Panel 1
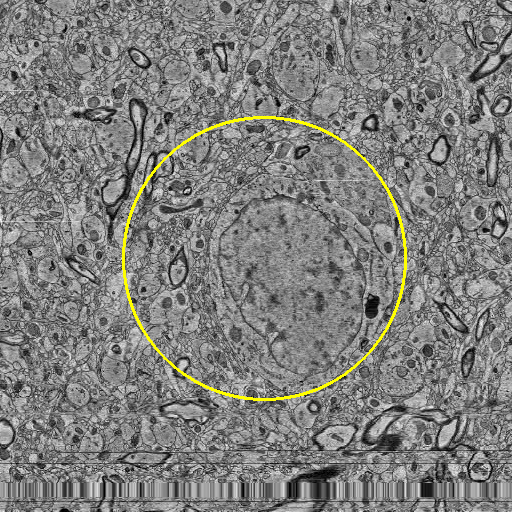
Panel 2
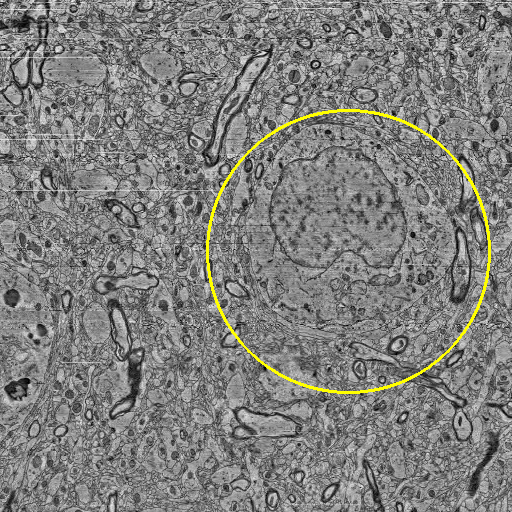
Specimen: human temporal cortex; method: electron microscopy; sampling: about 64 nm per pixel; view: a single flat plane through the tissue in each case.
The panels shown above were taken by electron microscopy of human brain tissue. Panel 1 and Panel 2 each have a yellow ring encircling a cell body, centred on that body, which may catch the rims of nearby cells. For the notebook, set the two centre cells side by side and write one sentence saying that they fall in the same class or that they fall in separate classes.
The centred cells of Panel 1 and Panel 2 fall in separate classes.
